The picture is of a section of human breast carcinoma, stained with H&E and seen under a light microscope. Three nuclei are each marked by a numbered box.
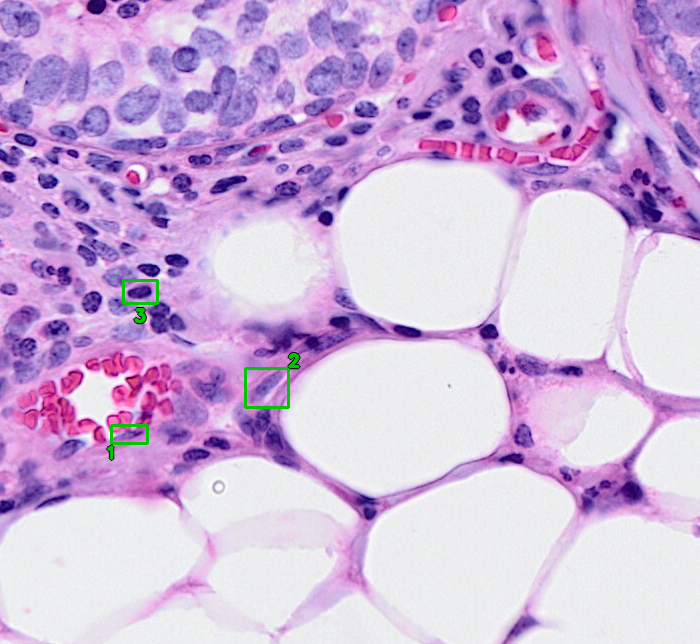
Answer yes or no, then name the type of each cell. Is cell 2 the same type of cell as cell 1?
Yes, both are endothelial cells.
